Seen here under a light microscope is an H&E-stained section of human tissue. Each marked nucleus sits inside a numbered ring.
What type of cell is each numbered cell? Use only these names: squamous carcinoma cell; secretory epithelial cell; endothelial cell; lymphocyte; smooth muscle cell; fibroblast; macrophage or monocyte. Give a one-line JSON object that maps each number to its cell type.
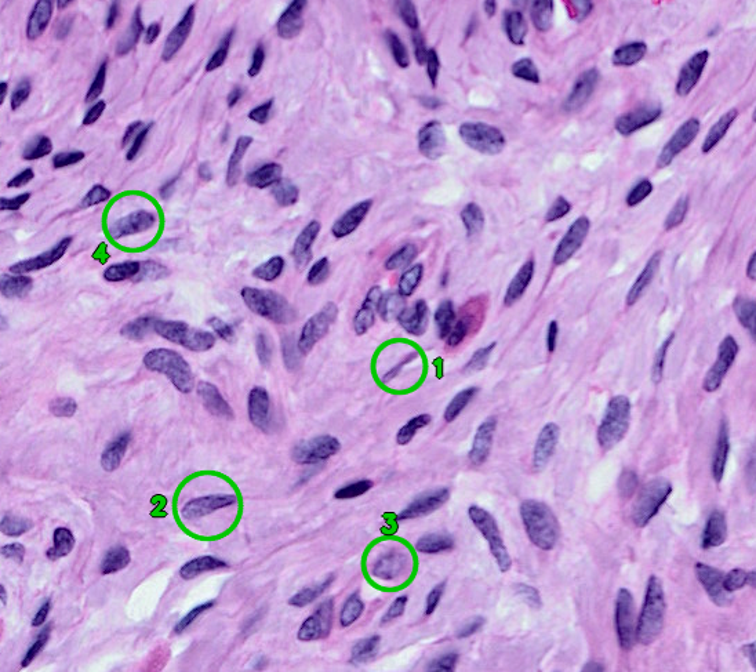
{"1": "fibroblast", "2": "fibroblast", "3": "endothelial cell", "4": "fibroblast"}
